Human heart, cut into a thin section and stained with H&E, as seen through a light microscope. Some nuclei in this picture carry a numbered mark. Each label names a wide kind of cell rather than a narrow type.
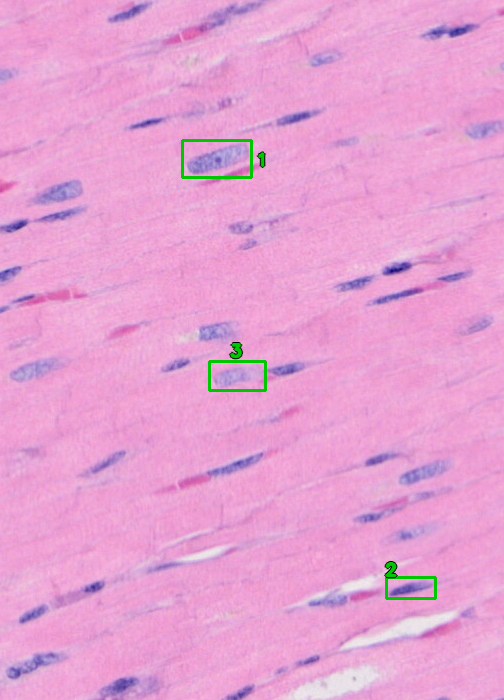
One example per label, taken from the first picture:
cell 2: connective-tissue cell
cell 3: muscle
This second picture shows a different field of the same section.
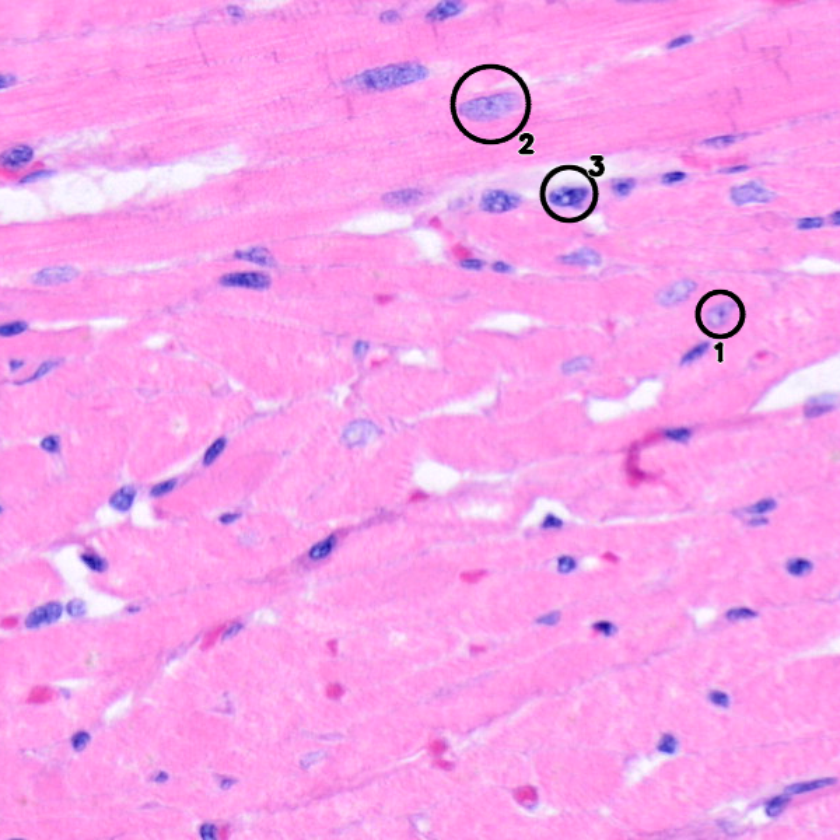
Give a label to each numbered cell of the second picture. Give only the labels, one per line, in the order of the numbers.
muscle
muscle
connective-tissue cell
